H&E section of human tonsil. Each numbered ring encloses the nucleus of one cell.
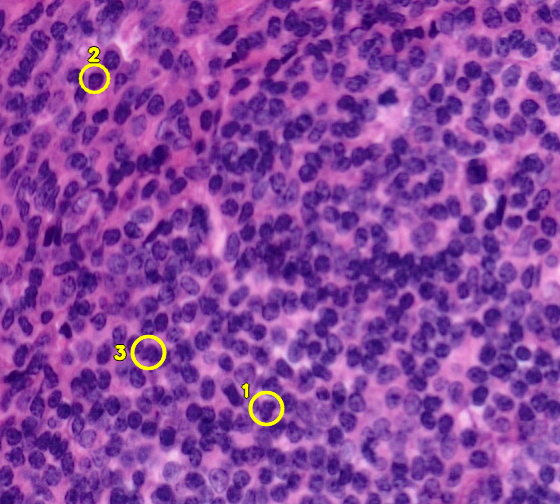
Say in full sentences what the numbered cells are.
Cell 1 is a small lymphocyte, cell 2 is a plasma cell and cell 3 is a small lymphocyte.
